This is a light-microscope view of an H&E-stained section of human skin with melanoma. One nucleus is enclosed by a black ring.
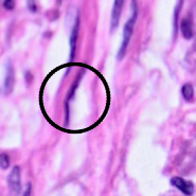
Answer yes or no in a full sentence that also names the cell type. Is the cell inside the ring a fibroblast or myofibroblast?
Yes, classifying the cell inside the ring as a fibroblast or myofibroblast is accurate.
